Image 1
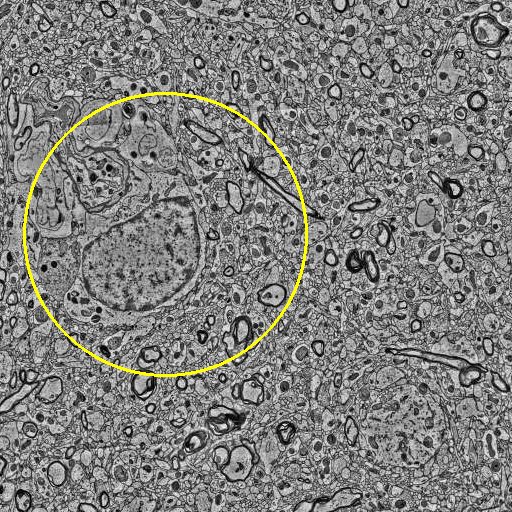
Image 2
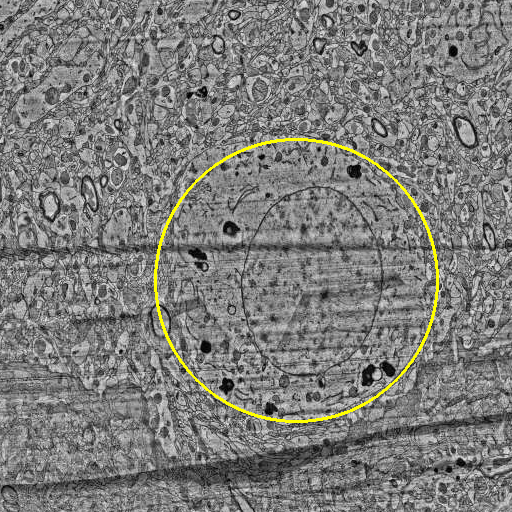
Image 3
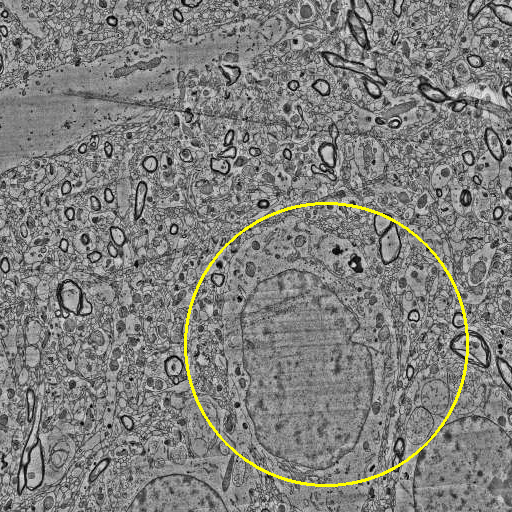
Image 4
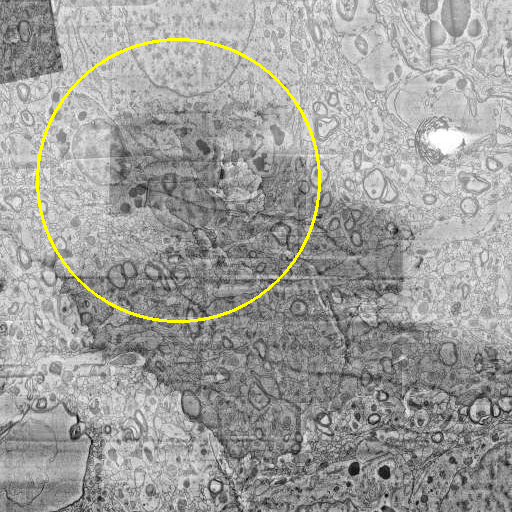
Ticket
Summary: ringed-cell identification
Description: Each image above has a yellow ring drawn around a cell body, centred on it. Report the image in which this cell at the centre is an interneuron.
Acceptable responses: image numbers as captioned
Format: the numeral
3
